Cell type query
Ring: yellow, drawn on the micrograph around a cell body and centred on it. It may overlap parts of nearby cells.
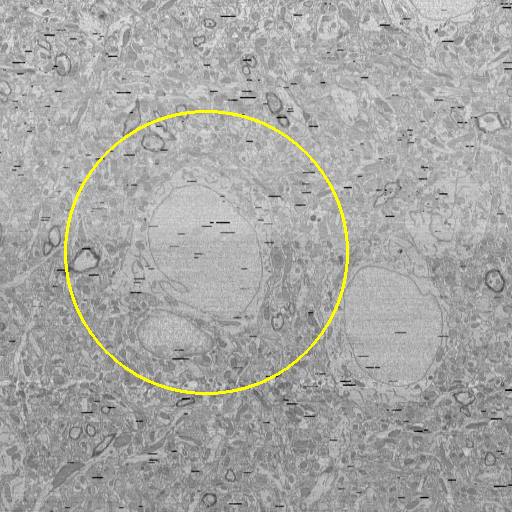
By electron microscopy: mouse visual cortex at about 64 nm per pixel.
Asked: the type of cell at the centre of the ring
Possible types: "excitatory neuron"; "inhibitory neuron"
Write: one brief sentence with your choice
The ring marks an excitatory neuron.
